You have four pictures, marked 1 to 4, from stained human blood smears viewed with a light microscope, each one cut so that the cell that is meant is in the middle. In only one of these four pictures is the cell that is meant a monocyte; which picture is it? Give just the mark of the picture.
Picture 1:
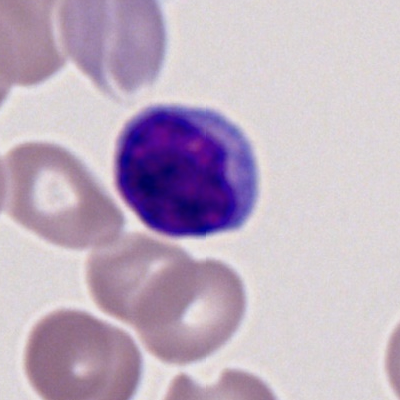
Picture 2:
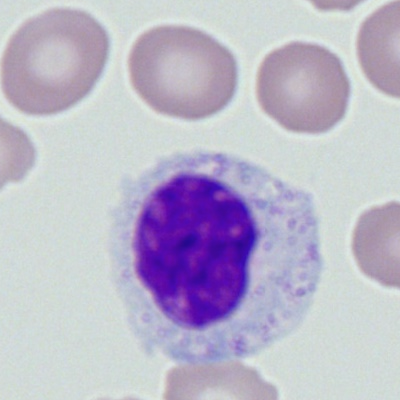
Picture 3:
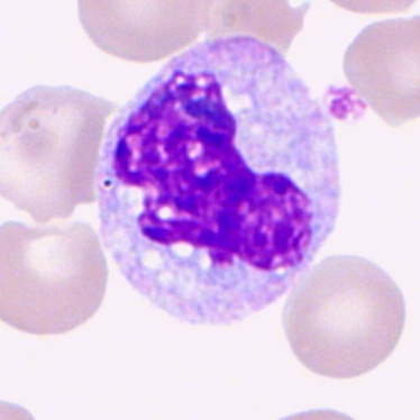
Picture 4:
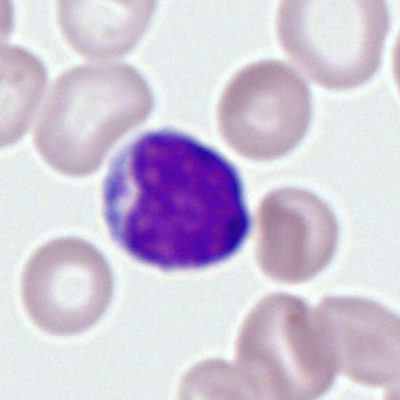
3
